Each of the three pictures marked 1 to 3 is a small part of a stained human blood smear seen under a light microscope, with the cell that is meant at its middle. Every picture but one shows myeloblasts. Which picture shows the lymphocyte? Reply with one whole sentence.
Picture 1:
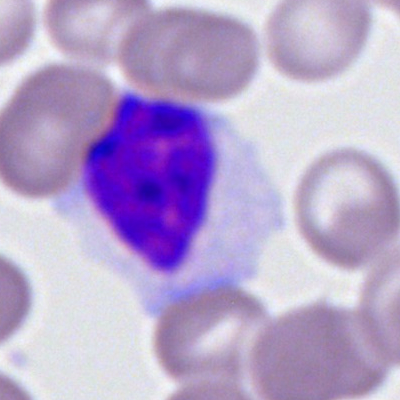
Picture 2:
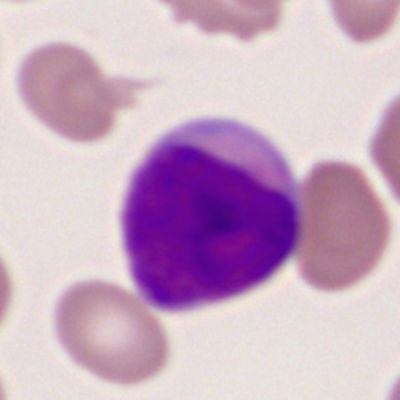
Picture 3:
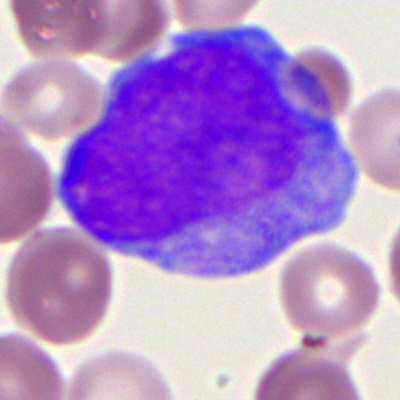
Picture 1 is the one that shows the lymphocyte.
